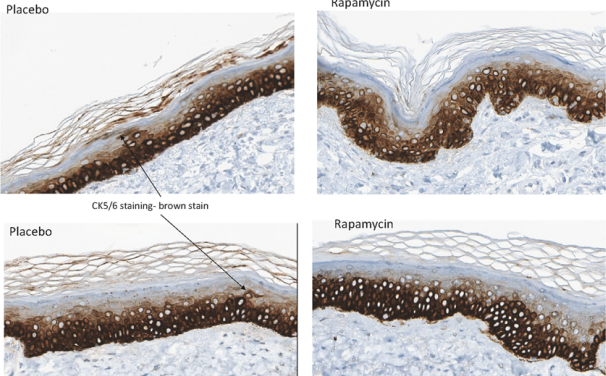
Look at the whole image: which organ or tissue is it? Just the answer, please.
Epidermis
